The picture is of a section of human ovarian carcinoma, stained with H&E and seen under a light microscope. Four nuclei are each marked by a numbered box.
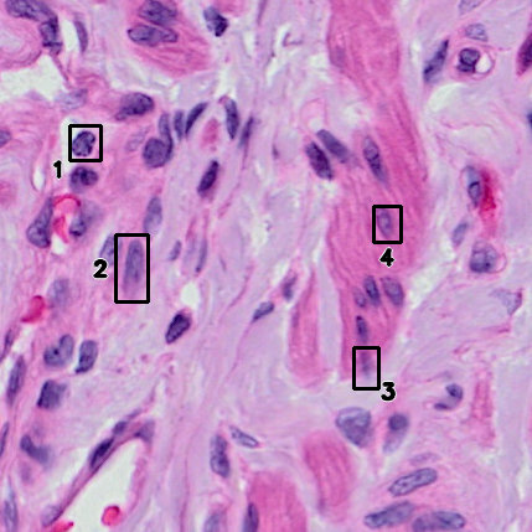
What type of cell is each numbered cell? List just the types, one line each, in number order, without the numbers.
lymphocyte
endothelial cell
smooth muscle cell
smooth muscle cell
